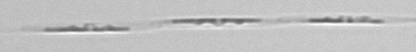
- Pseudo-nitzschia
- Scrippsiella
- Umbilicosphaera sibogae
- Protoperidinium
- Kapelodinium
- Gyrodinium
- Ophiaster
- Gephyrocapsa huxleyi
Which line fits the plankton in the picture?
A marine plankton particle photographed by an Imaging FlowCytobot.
Pseudo-nitzschia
